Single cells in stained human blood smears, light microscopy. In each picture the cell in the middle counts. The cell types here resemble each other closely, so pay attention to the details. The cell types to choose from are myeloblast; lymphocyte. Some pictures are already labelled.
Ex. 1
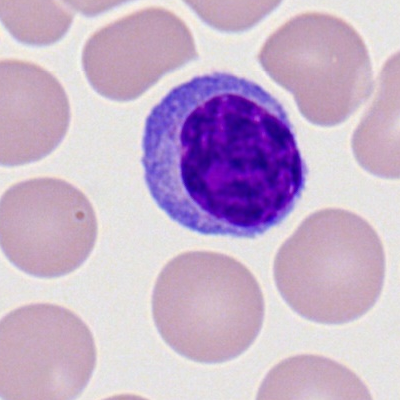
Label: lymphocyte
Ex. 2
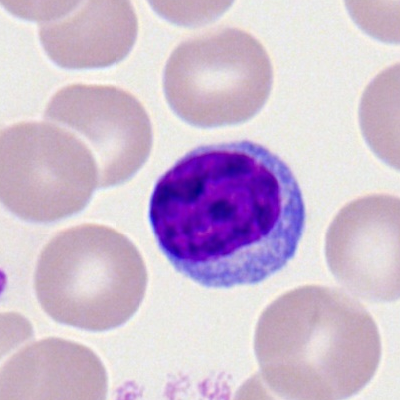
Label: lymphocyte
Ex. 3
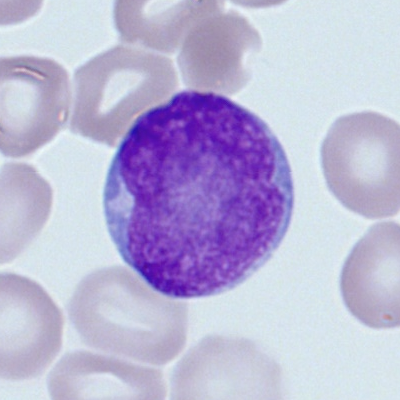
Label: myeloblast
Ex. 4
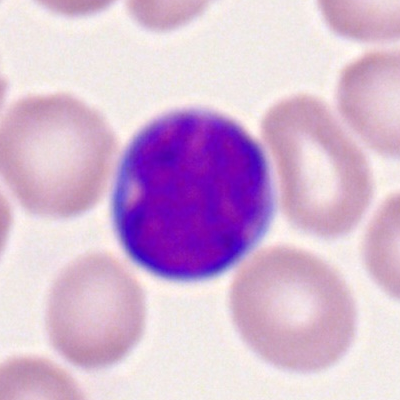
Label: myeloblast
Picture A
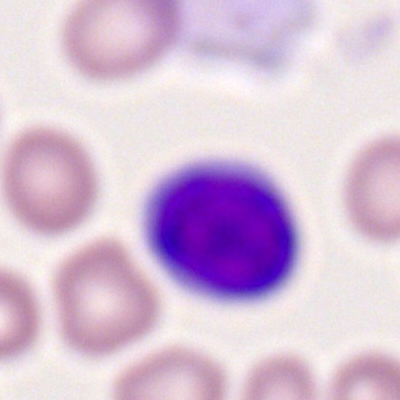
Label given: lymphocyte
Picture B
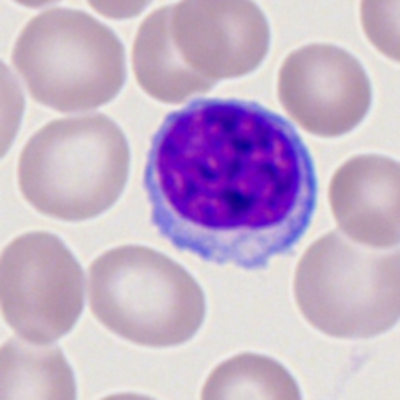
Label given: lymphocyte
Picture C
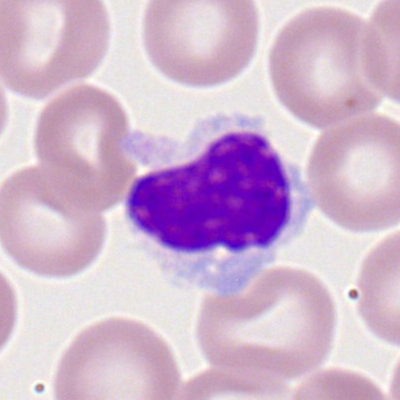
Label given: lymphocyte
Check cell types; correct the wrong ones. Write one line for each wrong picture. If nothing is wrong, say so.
Nothing to fix; every label fits.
